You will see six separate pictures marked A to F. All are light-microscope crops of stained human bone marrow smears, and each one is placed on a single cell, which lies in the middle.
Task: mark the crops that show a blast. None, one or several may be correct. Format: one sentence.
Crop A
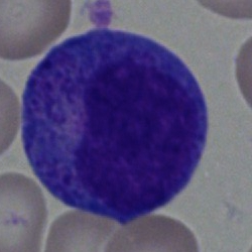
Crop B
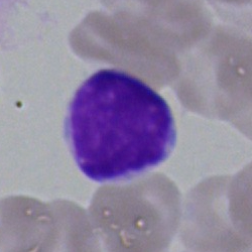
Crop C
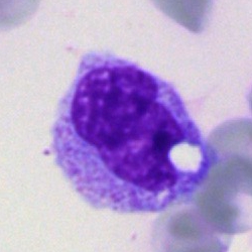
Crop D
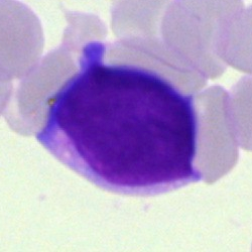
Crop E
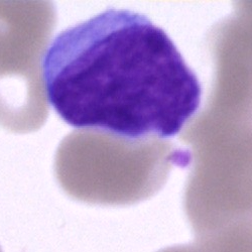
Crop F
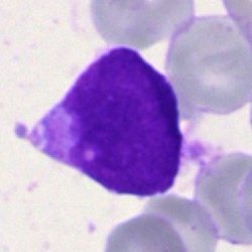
The central cells found in crops D, E and F are blasts.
